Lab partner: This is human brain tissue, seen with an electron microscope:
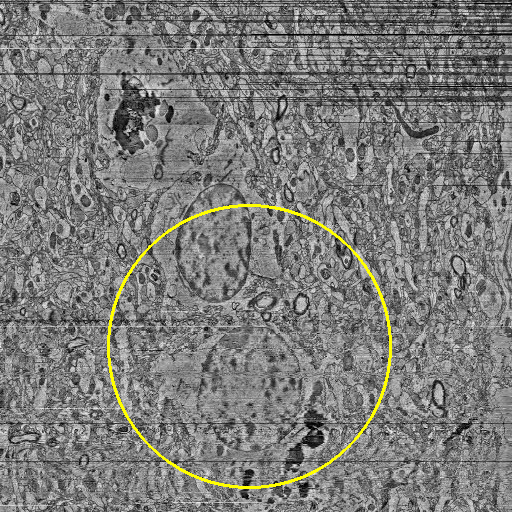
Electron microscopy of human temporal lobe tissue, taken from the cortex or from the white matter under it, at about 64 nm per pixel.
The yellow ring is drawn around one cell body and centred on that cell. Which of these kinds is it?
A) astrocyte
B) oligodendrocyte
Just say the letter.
A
